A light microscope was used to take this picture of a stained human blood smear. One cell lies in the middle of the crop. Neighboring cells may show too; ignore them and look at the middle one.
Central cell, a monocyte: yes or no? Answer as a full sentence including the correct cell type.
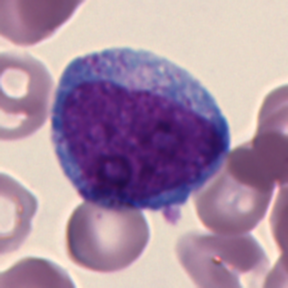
No, the cell in the middle is categorised as a promyelocyte, not a monocyte.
